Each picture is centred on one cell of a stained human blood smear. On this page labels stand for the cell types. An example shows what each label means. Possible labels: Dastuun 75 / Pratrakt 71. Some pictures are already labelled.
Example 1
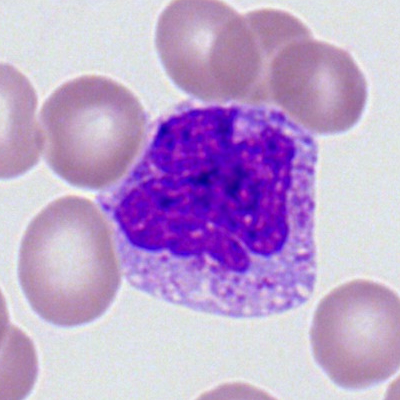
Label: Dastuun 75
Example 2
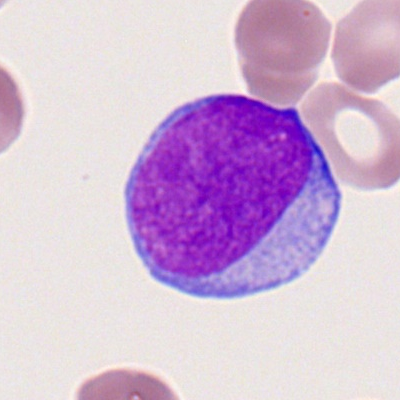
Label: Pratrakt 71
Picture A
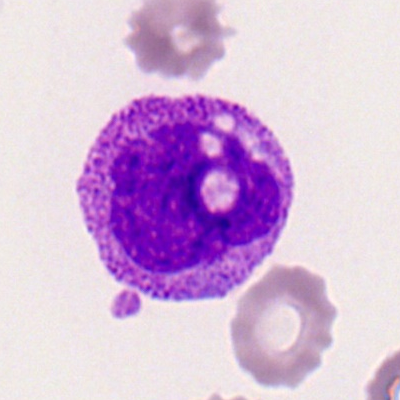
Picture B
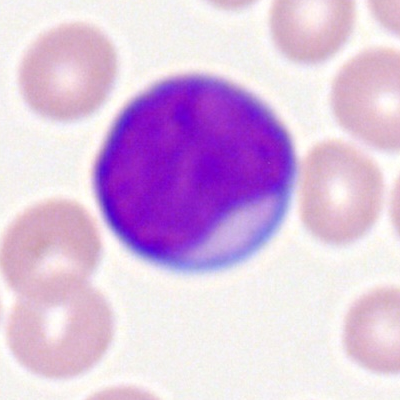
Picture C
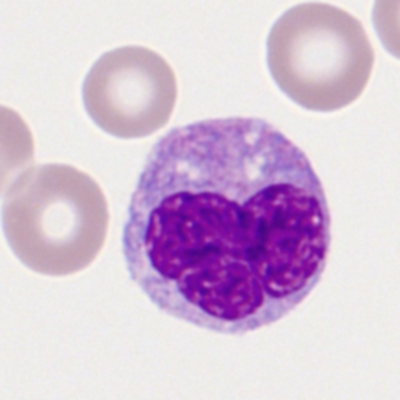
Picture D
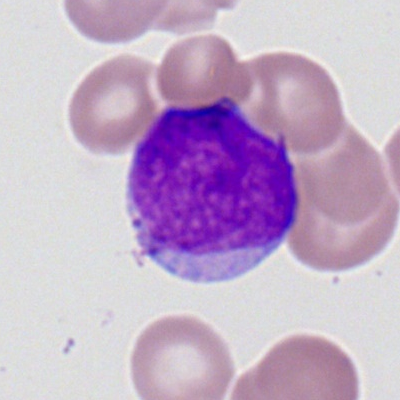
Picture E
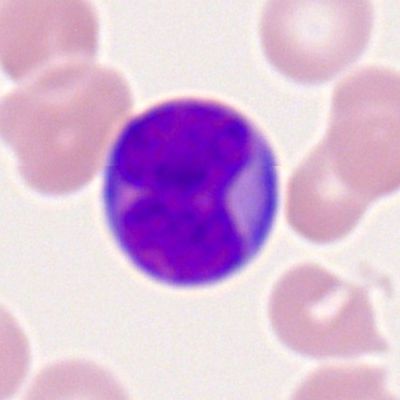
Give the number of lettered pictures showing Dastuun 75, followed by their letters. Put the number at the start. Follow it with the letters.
2, namely A, C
